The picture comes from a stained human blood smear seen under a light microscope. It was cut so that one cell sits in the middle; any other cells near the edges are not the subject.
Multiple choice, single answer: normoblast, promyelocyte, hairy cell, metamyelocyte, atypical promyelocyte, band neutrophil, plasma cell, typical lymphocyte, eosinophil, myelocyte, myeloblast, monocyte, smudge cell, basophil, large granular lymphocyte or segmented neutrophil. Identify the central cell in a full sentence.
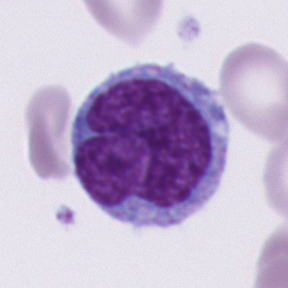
The cell at the middle of the crop is recognized as a monocyte.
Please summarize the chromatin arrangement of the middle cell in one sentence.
Chromatin texture is fine, and coarse clumps are absent.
